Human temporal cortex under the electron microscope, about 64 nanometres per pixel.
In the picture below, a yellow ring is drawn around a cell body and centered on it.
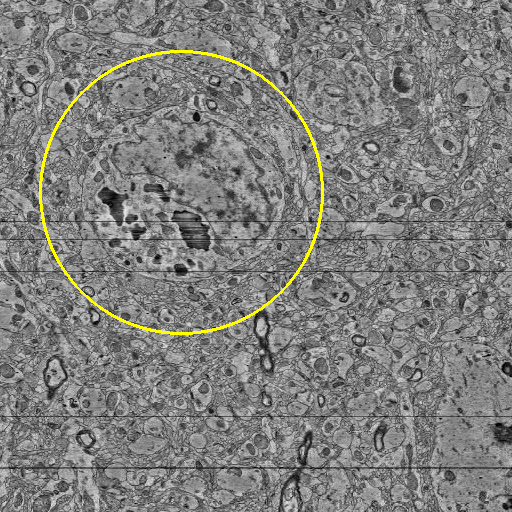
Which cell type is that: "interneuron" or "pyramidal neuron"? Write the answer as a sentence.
The cell centered in the ring is an interneuron.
